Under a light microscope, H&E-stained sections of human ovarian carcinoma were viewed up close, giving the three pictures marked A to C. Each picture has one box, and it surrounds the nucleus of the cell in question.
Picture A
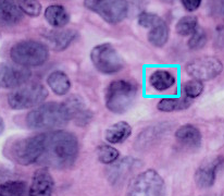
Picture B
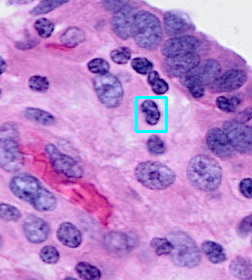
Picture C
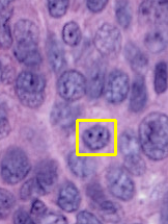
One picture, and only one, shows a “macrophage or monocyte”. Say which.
C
